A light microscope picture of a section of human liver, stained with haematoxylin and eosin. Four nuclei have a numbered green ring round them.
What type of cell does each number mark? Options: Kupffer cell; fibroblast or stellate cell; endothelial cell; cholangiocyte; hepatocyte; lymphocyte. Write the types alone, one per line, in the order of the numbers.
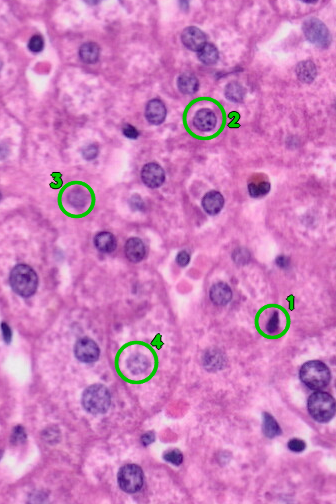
fibroblast or stellate cell
hepatocyte
hepatocyte
hepatocyte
